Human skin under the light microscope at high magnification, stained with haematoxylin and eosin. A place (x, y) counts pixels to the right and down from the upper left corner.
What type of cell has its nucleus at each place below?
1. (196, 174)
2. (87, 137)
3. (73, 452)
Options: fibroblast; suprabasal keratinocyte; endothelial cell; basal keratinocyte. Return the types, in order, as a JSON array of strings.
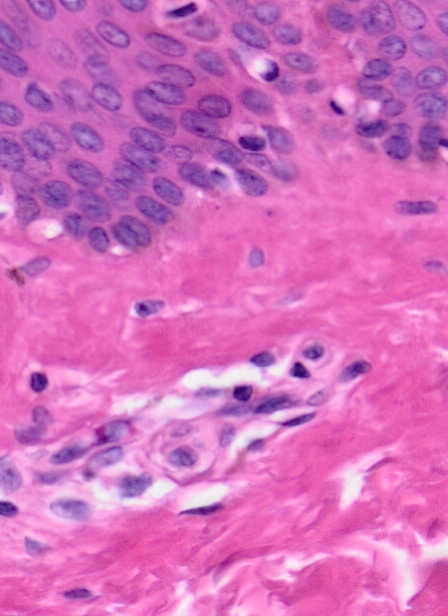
["basal keratinocyte", "suprabasal keratinocyte", "endothelial cell"]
